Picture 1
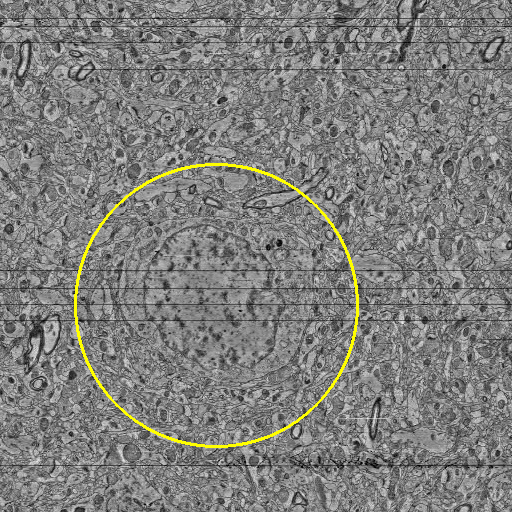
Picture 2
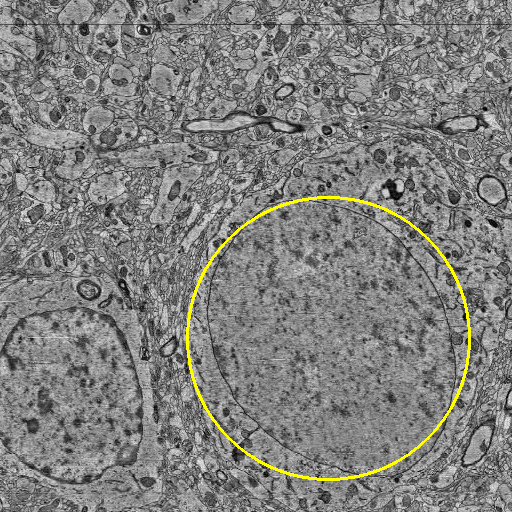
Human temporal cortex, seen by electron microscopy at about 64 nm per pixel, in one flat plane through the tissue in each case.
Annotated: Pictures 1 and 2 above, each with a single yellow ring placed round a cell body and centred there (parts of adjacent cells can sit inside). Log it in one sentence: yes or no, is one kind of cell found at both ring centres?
No, the ring centres of the two pictures hold cells of two kinds.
